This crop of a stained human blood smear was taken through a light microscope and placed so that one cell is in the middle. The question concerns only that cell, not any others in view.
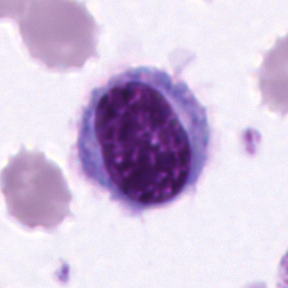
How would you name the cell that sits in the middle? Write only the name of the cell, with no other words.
plasma cell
